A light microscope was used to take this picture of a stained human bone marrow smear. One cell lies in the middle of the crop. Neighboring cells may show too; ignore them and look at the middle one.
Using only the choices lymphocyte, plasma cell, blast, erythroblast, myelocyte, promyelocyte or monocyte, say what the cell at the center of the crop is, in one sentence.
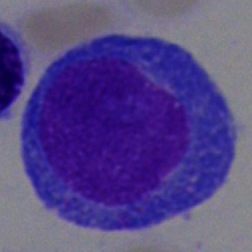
At the center of the crop sits a blast.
